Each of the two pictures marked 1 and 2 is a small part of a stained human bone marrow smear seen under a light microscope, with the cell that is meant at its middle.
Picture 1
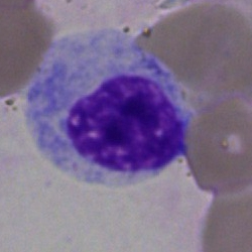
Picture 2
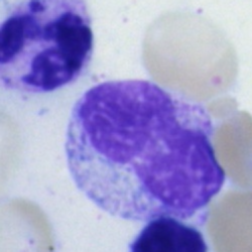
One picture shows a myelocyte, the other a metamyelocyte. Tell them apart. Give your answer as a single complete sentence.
Picture 1 is of a myelocyte, and picture 2 is of a metamyelocyte.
